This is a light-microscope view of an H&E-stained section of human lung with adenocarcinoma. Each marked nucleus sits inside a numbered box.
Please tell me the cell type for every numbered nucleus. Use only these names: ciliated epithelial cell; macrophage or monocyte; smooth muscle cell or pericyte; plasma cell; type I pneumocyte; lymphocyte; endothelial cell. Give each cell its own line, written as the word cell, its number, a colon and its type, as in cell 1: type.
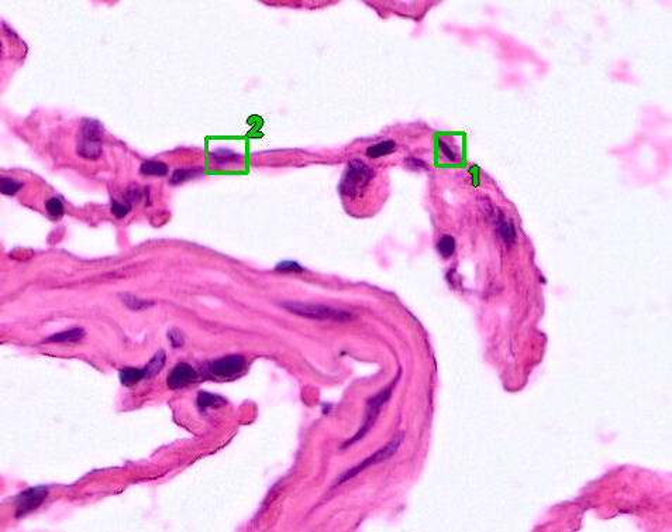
cell 1: endothelial cell
cell 2: type I pneumocyte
